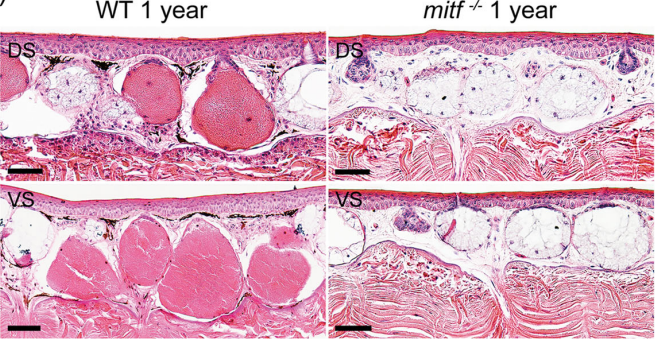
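Sections of amphibian skin stained pink and purple, each with a thin stratified epidermis over a dermis packed with large rounded glands. In the left column several glands are filled with homogeneous deep pink secretion and sit beside smaller glands with pale, foamy, vacuolated contents, with dark pigment scattered beneath the epidermis. In the right column the deep pink glands are missing, only pale foamy glands and small purple glands remain, and dark pigment is scarce above the wavy pink deep dermis.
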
